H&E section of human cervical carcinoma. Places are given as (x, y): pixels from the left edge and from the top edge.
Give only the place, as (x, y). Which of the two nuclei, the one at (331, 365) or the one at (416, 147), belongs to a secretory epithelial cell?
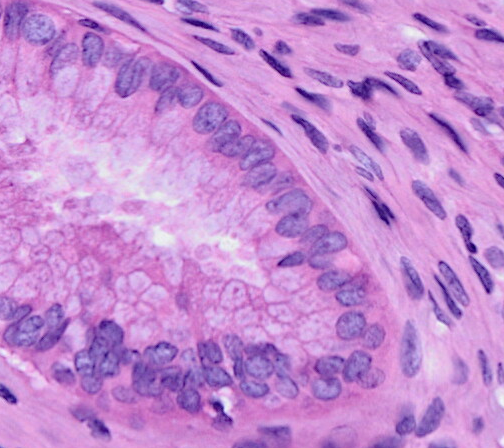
(331, 365)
